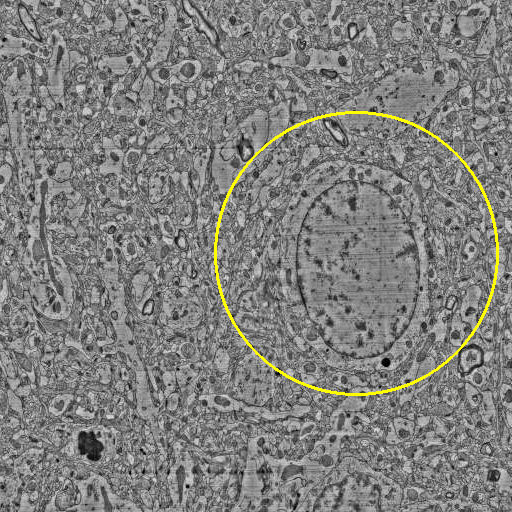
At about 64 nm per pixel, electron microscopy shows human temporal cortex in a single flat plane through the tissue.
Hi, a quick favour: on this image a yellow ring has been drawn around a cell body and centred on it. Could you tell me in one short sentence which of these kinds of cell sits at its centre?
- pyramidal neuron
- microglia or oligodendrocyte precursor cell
The ring is centred on a pyramidal neuron.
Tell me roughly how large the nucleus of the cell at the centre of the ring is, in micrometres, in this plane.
About 11 by 8 micrometers for the nucleus, in this plane.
